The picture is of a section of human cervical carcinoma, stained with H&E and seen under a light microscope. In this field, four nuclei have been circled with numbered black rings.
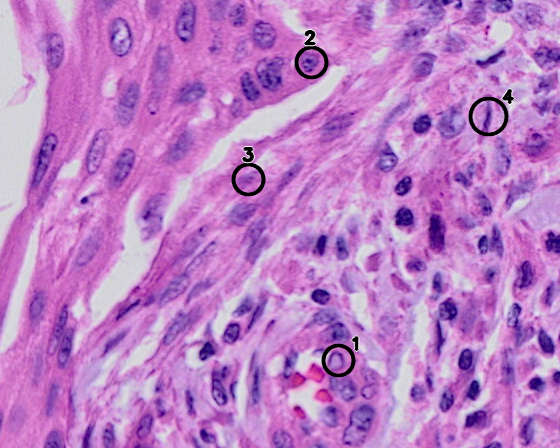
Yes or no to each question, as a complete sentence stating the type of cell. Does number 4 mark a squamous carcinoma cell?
No, rather than a squamous carcinoma cell, cell number 4 is a fibroblast.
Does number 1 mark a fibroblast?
No. Cell number 1 is an endothelial cell, not a fibroblast.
